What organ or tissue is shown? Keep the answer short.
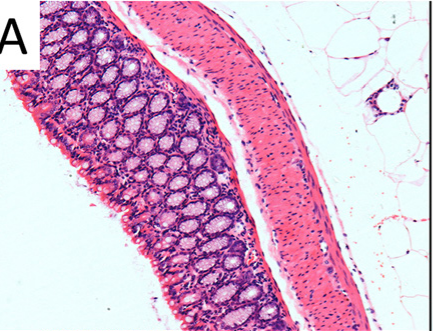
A: Colon.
